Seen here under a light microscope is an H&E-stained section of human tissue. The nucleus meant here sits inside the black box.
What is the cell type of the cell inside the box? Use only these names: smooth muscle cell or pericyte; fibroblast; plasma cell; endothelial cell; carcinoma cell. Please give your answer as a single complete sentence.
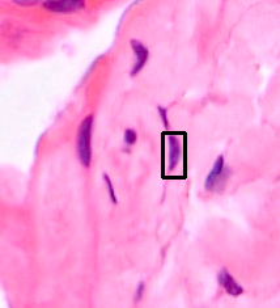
As for its identity, the cell inside the box is a fibroblast.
